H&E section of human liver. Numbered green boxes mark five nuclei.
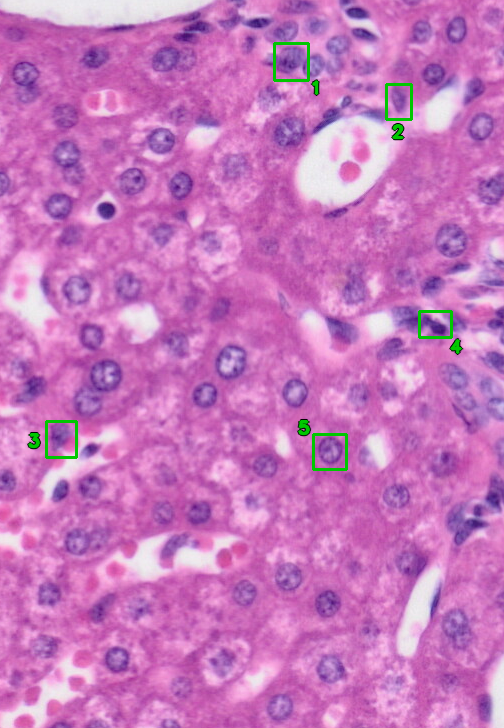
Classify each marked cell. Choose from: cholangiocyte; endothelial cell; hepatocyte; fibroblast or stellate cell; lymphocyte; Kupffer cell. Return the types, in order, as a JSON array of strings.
["cholangiocyte", "fibroblast or stellate cell", "endothelial cell", "fibroblast or stellate cell", "hepatocyte"]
